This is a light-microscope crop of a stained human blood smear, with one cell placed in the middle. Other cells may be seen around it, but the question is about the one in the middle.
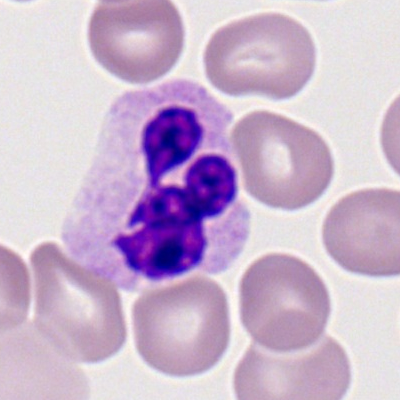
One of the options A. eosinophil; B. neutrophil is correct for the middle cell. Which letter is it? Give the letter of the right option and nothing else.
B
